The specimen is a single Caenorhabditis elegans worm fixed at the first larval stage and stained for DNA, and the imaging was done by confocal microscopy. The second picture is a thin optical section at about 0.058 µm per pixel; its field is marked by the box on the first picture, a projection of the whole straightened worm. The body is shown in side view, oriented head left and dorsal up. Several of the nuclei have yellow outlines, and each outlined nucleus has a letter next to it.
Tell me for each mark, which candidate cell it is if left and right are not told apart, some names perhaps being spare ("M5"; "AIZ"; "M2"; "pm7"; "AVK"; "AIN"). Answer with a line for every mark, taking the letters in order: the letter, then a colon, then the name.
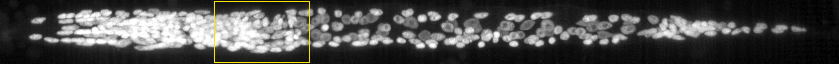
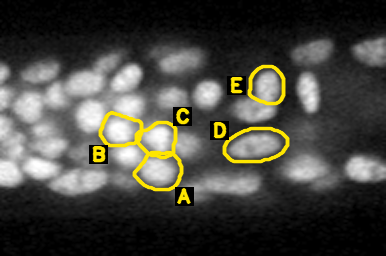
A: AVK
B: AIZ
C: M2
D: pm7
E: M5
